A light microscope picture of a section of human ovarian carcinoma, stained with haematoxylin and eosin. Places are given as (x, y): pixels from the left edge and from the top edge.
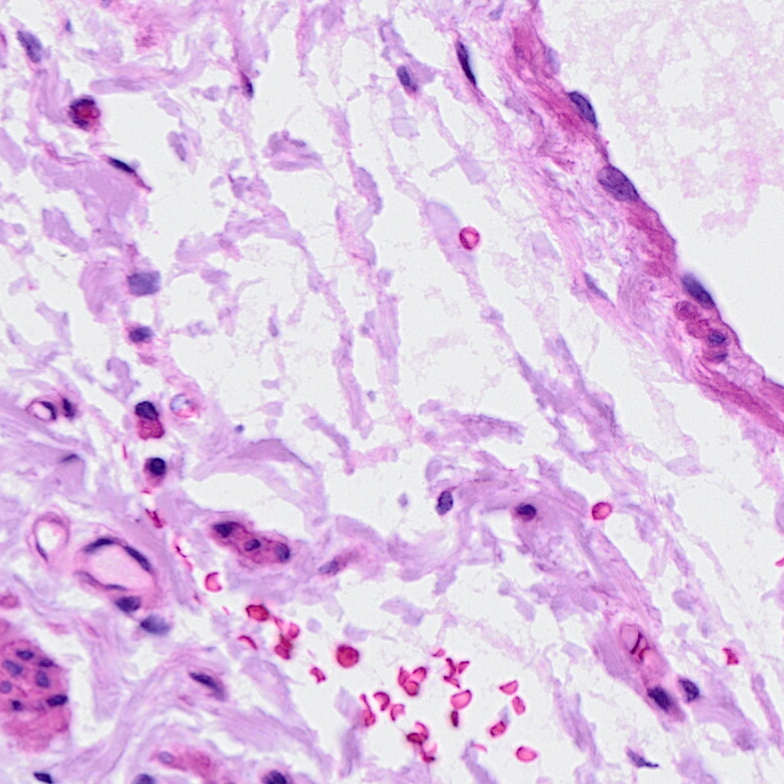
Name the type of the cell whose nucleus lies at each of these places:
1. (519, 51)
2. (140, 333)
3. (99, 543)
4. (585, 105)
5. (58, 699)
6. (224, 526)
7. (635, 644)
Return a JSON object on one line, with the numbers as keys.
{"1": "smooth muscle cell", "2": "macrophage or monocyte", "3": "endothelial cell", "4": "endothelial cell", "5": "smooth muscle cell", "6": "smooth muscle cell", "7": "endothelial cell"}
